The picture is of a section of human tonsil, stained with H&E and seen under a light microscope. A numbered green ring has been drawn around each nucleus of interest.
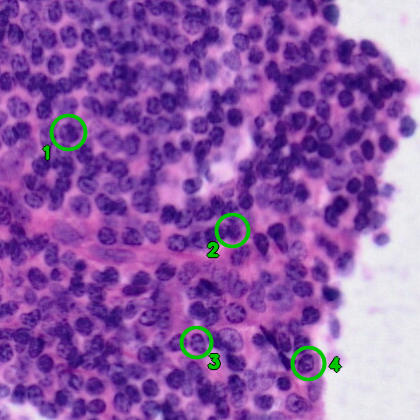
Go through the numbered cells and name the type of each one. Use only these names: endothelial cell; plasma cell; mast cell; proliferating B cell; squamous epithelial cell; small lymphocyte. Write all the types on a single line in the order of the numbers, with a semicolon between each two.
small lymphocyte; small lymphocyte; small lymphocyte; plasma cell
